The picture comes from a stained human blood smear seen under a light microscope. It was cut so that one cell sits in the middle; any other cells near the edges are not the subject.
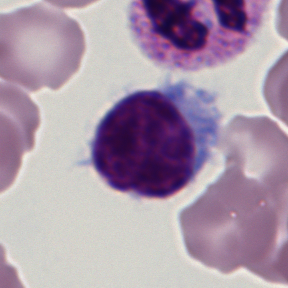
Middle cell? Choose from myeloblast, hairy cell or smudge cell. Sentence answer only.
Here the cell in the middle is a hairy cell.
